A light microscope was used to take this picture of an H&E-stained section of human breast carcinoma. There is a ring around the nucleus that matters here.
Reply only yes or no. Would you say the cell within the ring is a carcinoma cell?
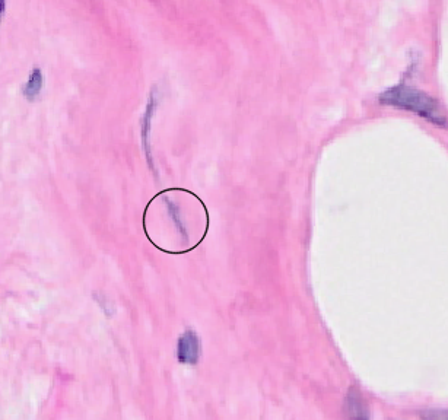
no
